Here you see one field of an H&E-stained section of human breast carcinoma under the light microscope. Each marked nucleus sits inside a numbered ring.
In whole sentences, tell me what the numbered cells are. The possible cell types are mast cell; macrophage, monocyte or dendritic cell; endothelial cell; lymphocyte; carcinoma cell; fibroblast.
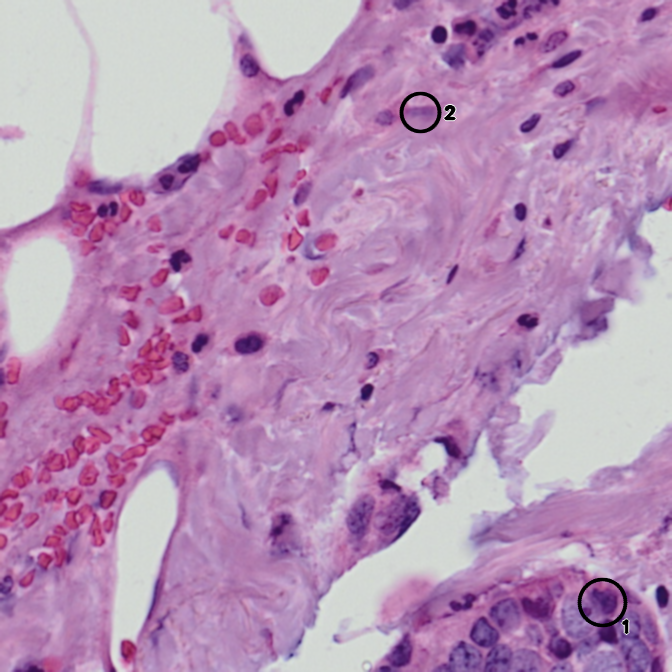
Cell 1 is a carcinoma cell. Cell 2 is a fibroblast.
